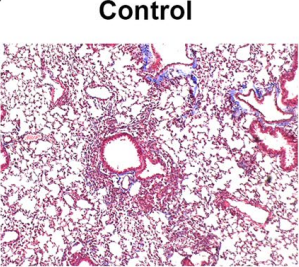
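This is lung tissue with an open, lace-like architecture of many air spaces separated by thin red-pink walls. Among the air spaces lie round airways lined by epithelium and vessels, with only a little blue-stained fibrous tissue around some of them.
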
